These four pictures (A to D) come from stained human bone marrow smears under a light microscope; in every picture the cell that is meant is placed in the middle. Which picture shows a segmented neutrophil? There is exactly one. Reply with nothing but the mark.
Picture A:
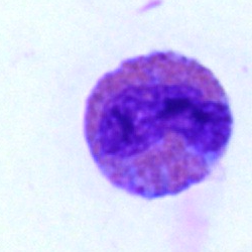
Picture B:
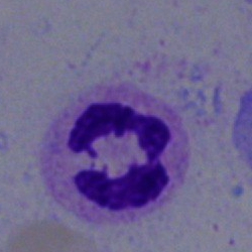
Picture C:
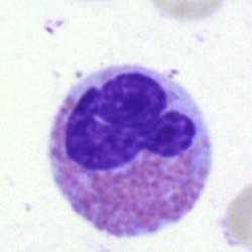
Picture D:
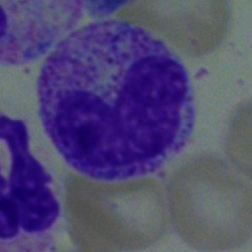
B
